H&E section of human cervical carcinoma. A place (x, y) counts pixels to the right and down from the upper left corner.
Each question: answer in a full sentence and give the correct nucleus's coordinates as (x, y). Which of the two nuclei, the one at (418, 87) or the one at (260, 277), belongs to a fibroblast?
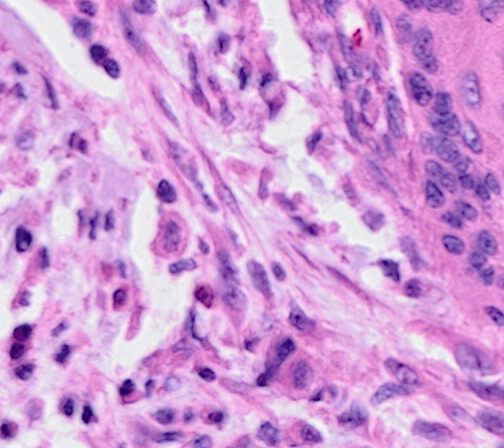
Here the nucleus at (260, 277) is the one that belongs to a fibroblast.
